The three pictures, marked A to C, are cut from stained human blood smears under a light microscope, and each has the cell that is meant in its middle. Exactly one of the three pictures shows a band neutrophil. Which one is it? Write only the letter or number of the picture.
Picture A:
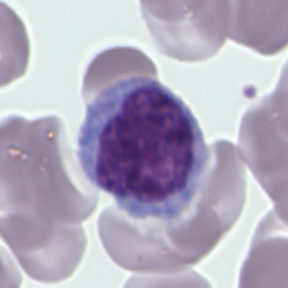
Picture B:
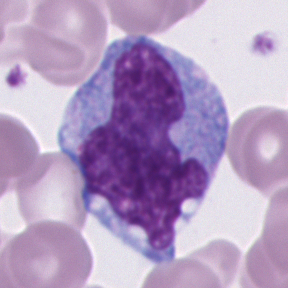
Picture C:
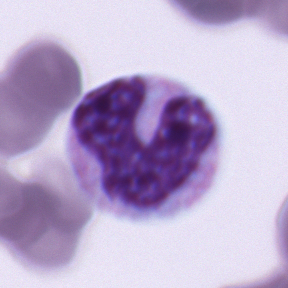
C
